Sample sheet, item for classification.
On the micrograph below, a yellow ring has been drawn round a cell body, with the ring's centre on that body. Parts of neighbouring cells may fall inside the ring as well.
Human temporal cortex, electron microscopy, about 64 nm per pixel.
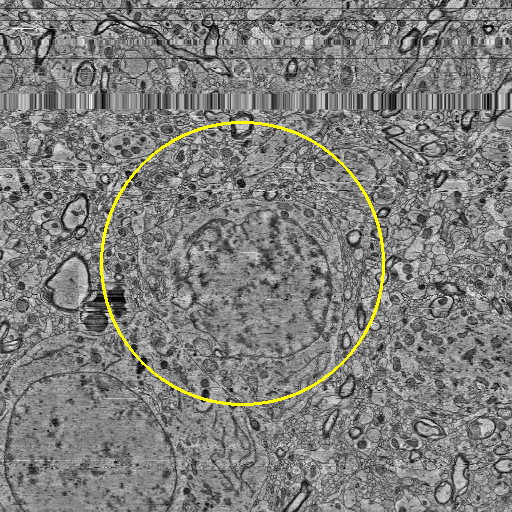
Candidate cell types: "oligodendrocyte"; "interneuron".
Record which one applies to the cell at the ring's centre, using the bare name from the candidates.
interneuron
